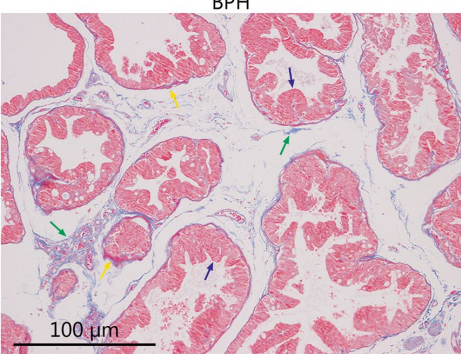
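Around the glands, thin red-staining cells form a layer at the gland edges, consistent with smooth muscle cells. The stroma between the glands contains blue-staining fibrous strands, the collagen fibers, which are most prominent where several glands meet and around small vessels.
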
